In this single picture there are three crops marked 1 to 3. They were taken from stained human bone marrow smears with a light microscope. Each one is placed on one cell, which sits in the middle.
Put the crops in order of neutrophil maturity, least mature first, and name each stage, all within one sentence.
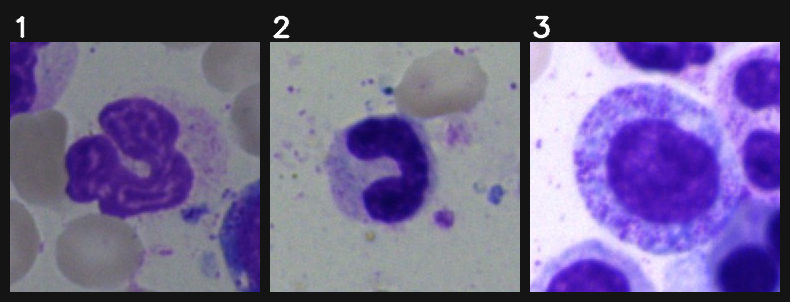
From earliest to most mature stage, the crops go crop 3 (a promyelocyte), crop 2 (a band neutrophil) and crop 1 (a segmented neutrophil).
